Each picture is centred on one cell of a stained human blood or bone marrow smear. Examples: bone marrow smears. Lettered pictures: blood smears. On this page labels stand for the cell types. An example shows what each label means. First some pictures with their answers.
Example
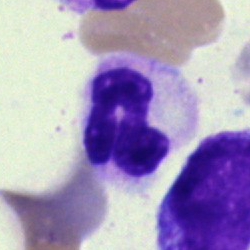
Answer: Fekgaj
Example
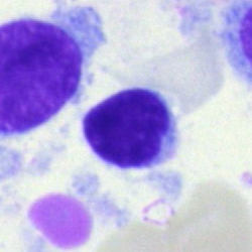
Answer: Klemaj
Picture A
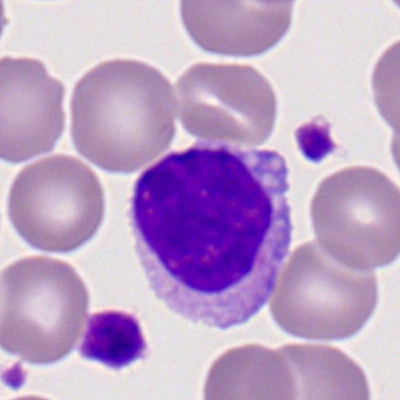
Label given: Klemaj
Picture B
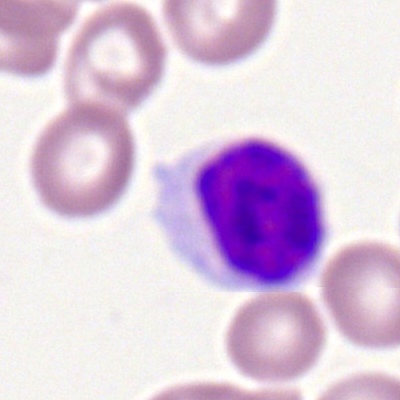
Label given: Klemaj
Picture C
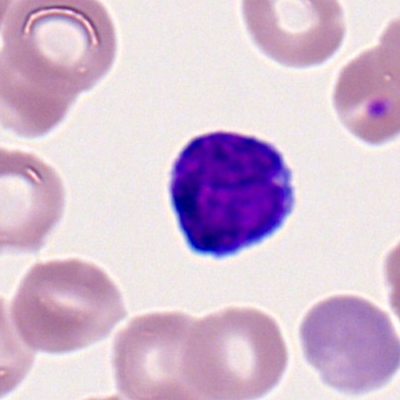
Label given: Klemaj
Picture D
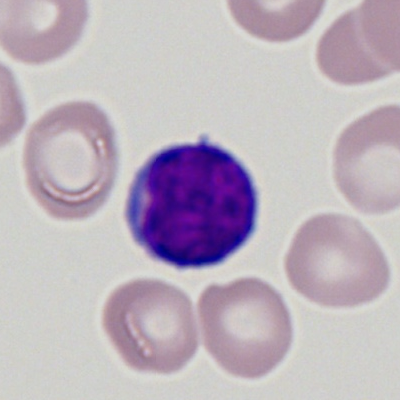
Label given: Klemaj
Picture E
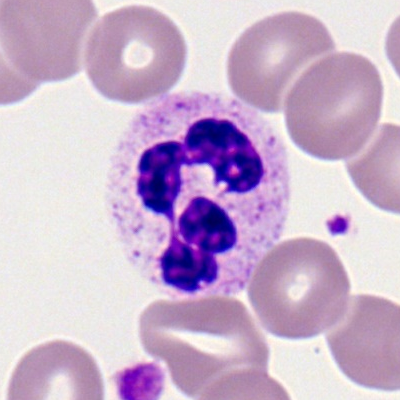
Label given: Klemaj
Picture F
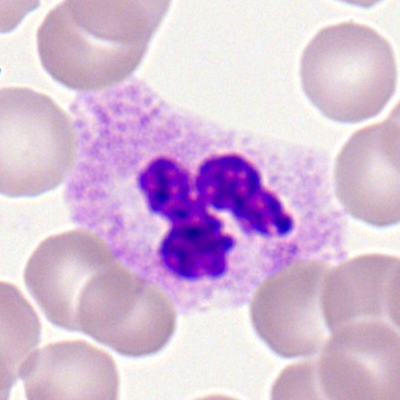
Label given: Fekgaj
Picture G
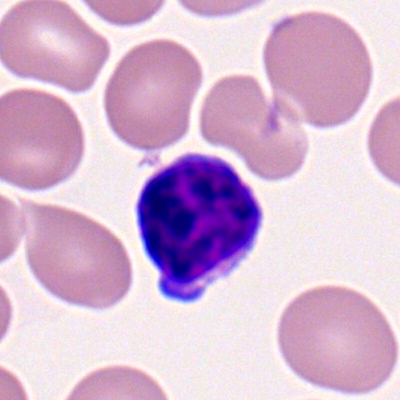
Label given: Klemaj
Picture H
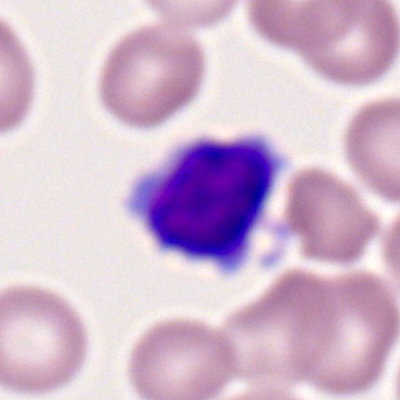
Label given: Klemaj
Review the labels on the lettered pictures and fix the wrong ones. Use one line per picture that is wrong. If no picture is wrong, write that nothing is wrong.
E: change Klemaj to Fekgaj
